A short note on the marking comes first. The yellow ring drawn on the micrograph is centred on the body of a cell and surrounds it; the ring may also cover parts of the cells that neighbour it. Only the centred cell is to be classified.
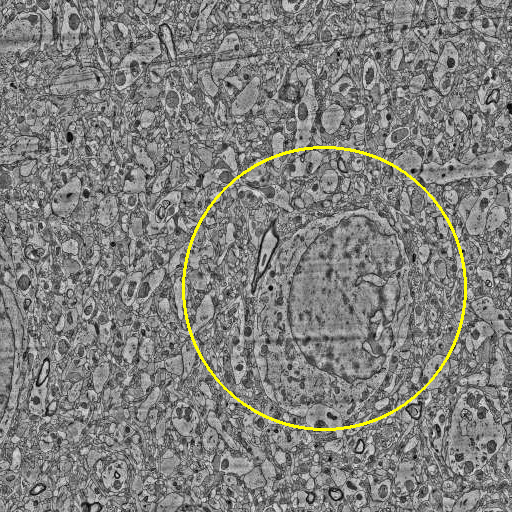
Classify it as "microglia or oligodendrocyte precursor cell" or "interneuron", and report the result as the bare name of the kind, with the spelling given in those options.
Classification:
interneuron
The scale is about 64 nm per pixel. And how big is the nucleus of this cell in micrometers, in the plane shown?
The ringed cell's nucleus is about 11 micrometres long and 7 micrometres wide in this plane.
